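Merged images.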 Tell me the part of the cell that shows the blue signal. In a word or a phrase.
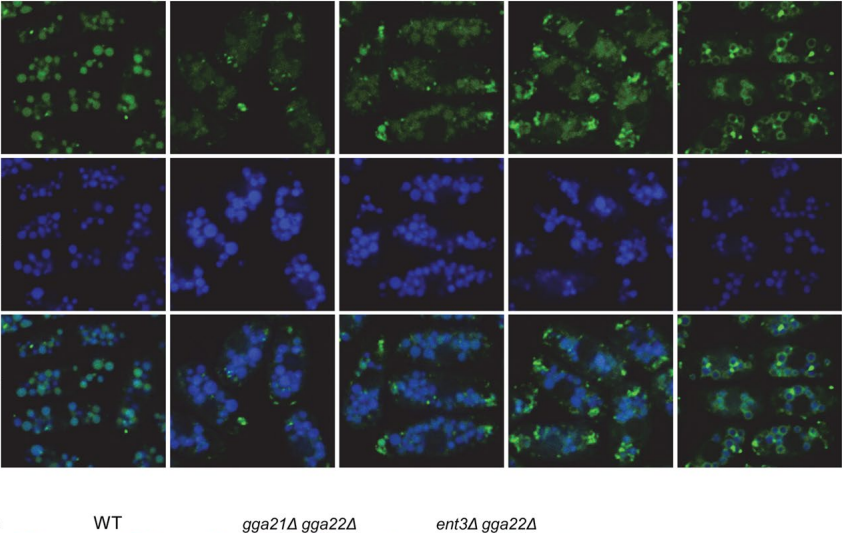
Vacuoles.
